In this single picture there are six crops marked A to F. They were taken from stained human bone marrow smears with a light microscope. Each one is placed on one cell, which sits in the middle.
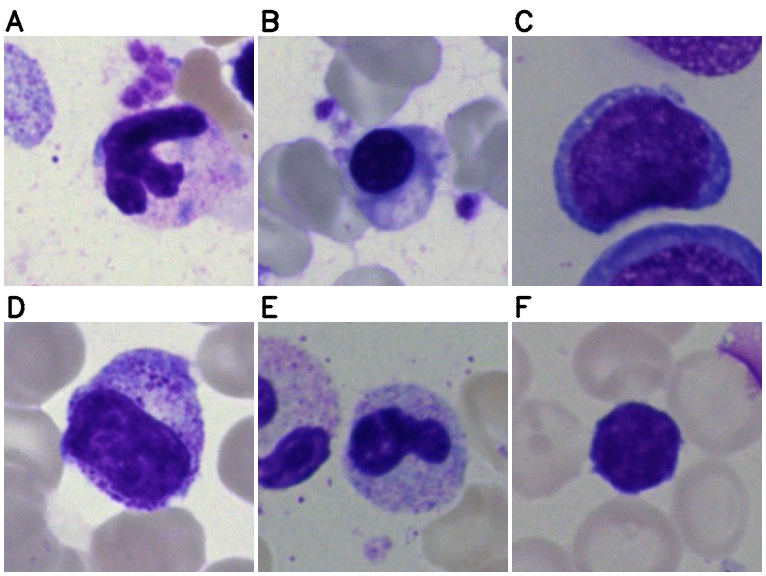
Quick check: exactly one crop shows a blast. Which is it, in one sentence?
As for which crop shows a blast, it is crop C.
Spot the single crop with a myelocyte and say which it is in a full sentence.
The crop that shows a myelocyte is crop D.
